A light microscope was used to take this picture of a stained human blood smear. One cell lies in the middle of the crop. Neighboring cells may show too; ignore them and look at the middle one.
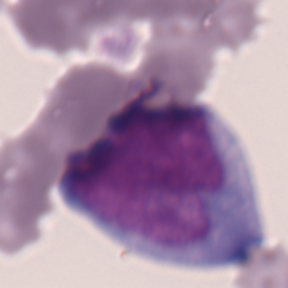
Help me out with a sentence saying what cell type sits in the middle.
Whatever else lies nearby, the middle cell is a myeloblast.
